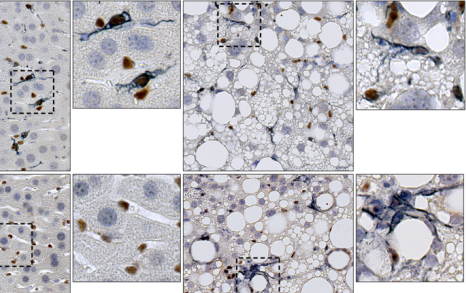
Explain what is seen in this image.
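Liver sections show cords of large polygonal hepatocytes with central round, pale nuclei and lightly stained cytoplasm. Between the cords lie slender cells stained blue, with long thin processes that wrap along the spaces between hepatocytes. Several small nuclei, some within the blue cells, are stained brown. In the right-hand images the hepatocytes are filled with clear, round vacuoles of many sizes, some large enough to push the nucleus aside, giving a foamy, distorted parenchyma. Here the blue-stained cells appear as more irregular, branching clusters among the vacuolated hepatocytes.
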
